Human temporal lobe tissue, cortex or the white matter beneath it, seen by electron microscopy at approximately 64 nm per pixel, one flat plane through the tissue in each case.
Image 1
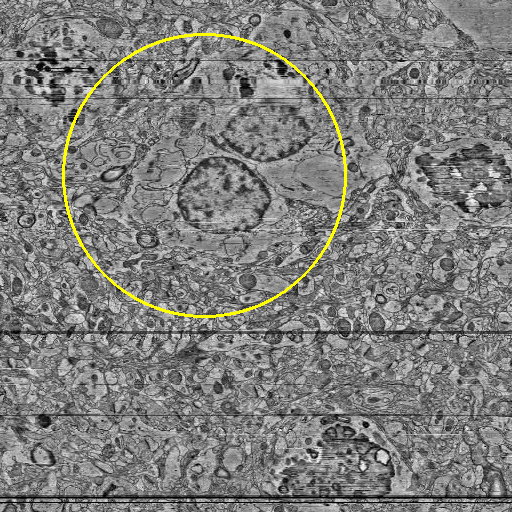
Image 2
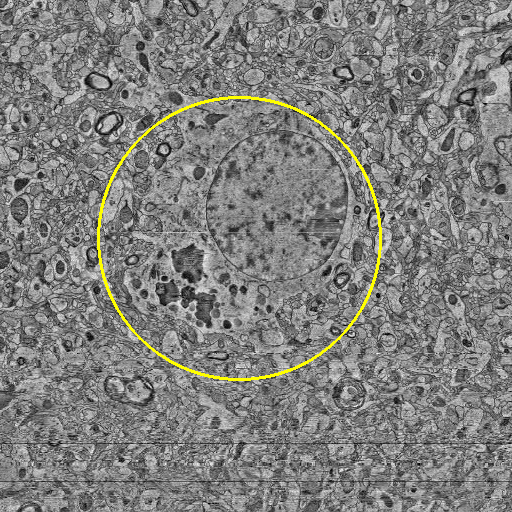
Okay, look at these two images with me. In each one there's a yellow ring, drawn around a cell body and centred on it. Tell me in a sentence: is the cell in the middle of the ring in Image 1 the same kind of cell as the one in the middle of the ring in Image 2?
Yes, they're the same kind of cell.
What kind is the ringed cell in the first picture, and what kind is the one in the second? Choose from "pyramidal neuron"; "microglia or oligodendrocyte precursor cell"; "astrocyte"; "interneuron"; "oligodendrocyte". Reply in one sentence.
In both pictures the ring is centred on an astrocyte.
